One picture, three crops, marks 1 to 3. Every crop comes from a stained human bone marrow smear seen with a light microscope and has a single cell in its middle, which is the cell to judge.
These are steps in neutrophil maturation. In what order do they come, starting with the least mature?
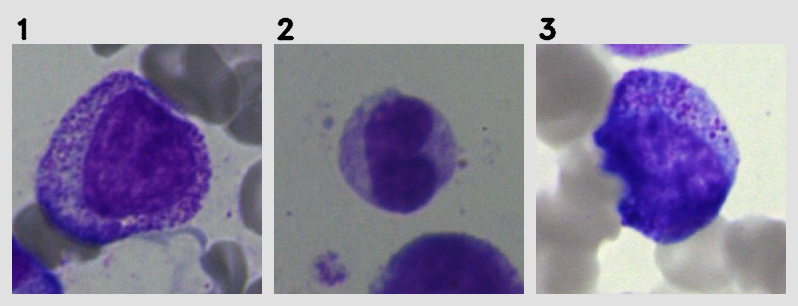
3, 1, 2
